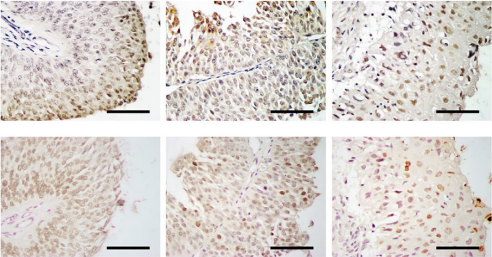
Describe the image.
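Six small fields of tumour tissue made of closely packed epithelial cells arranged in sheets and broad nests. The brown reaction product sits mainly over the nuclei, which vary from pale tan to dark brown from cell to cell, while the cytoplasm stays largely unstained. In a few fields thin strands of stroma with elongated blue-stained nuclei run between the cell masses. Some fields show weaker, patchier brown nuclear staining than others.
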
